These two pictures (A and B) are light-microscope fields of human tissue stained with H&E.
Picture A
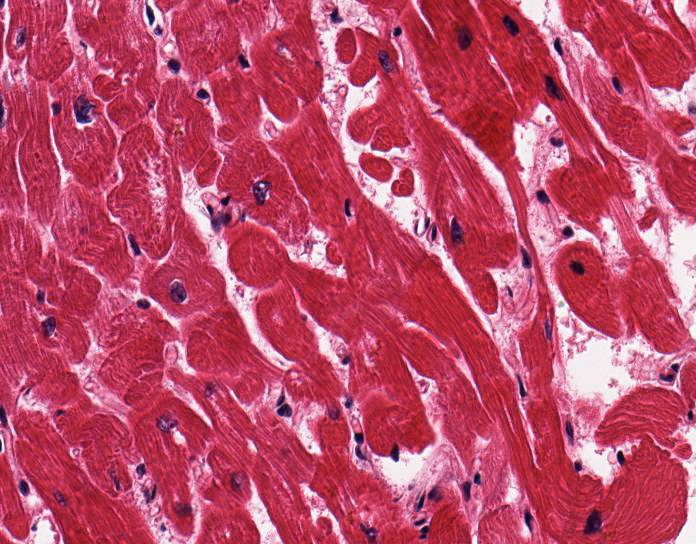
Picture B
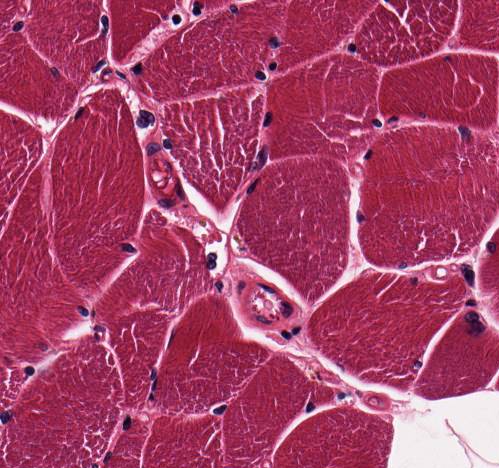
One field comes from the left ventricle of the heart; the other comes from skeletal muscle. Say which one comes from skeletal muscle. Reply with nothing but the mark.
B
